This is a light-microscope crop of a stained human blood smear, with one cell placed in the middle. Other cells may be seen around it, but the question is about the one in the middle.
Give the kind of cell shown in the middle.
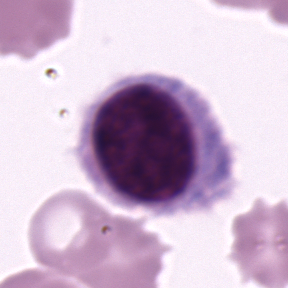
hairy cell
